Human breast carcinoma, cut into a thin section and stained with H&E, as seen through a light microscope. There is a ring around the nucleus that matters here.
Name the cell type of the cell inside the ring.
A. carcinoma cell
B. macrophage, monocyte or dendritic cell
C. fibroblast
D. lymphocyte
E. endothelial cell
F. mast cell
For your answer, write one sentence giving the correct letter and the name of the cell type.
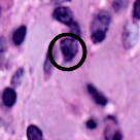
Option D describes the cell inside the ring accurately as a lymphocyte.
